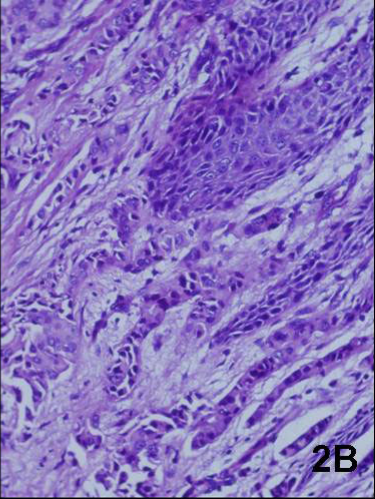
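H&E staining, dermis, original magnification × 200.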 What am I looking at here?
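Tumour cells run in irregular cords, strands and small clusters through pale, loose fibrous stroma. Their nuclei are enlarged, dark and irregular, with a moderate rim of pinkish cytoplasm. Hardly any well-formed glands are seen. Near the top, a denser sheet of epithelial cells borders the infiltrating strands.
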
